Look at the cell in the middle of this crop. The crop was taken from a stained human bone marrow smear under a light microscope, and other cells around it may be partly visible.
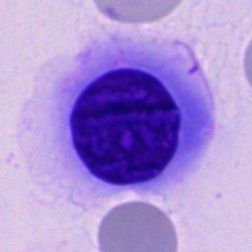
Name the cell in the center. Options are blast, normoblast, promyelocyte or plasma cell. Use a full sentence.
The middle of this crop holds a normoblast.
